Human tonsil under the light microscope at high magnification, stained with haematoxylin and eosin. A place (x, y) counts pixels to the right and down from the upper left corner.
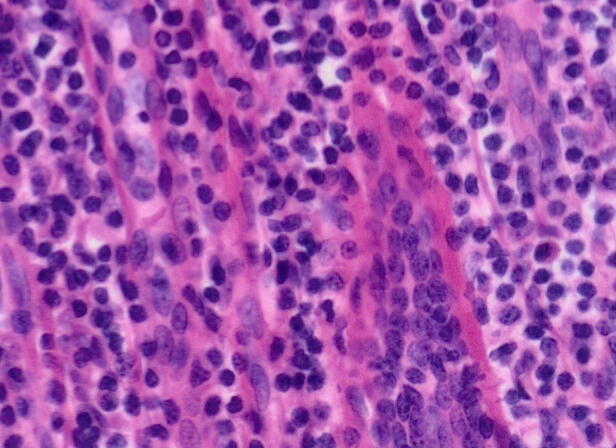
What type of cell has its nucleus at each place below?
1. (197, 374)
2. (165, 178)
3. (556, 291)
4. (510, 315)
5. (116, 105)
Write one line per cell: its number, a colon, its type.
1: endothelial cell
2: endothelial cell
3: small lymphocyte
4: plasma cell
5: endothelial cell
